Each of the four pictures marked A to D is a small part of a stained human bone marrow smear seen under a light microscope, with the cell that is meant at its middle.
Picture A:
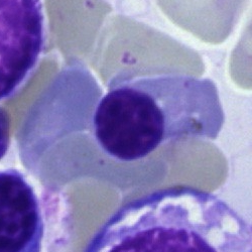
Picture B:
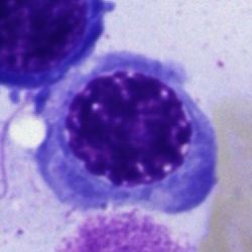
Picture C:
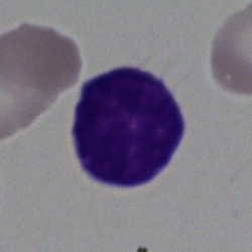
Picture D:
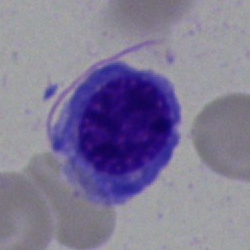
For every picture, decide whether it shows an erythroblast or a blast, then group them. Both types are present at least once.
A: erythroblast
B: erythroblast
C: blast
D: erythroblast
